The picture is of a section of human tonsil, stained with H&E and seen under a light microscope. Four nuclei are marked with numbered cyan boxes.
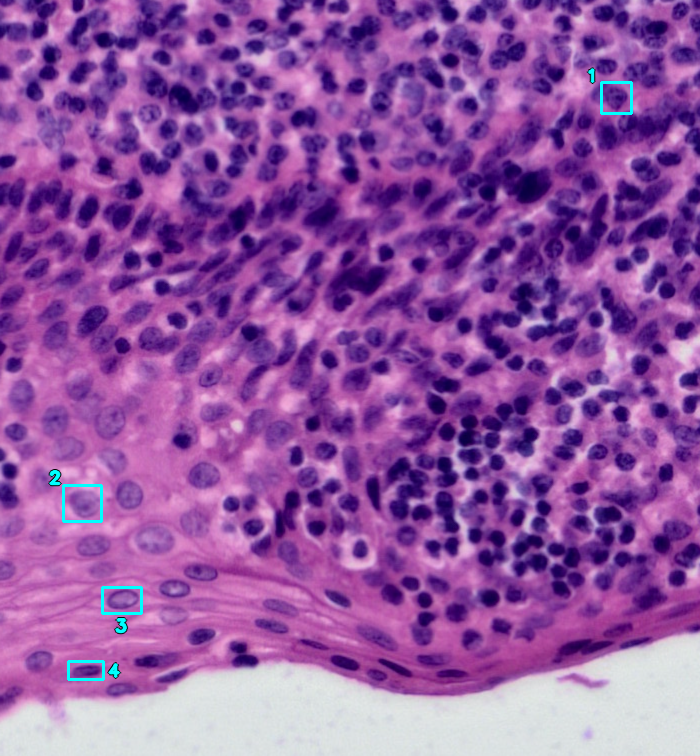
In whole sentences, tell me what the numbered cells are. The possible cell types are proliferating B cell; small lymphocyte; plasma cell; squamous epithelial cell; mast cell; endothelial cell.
Cell 1 is a plasma cell, cell 2 is a squamous epithelial cell, cell 3 is a squamous epithelial cell and cell 4 is a squamous epithelial cell.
